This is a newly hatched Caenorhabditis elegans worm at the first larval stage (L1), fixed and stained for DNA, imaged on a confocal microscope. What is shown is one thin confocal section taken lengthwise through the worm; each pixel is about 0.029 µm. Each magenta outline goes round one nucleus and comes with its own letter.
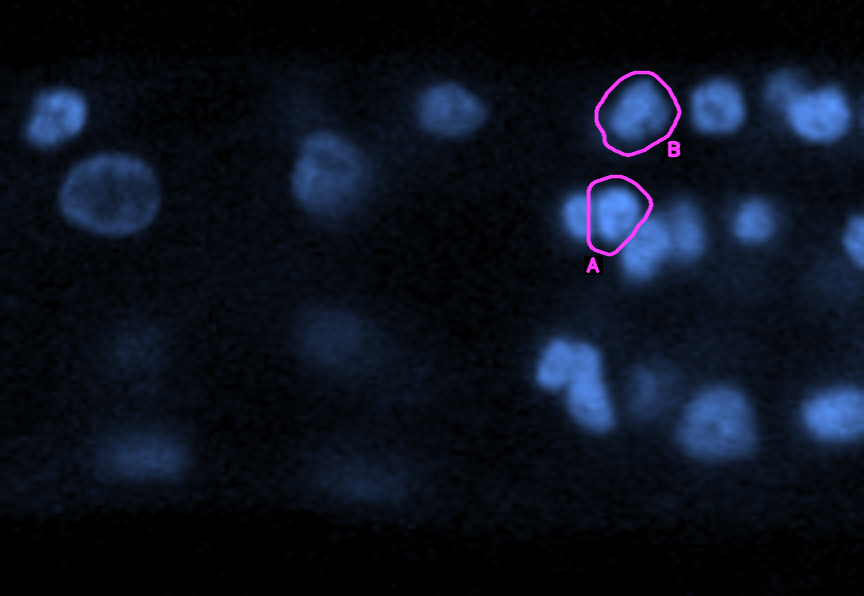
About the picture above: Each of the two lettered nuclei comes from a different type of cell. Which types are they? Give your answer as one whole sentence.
A is the nucleus of a valve cell of the gut; B is the nucleus of a neuron.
